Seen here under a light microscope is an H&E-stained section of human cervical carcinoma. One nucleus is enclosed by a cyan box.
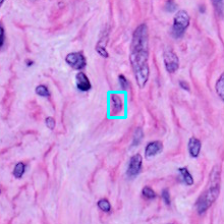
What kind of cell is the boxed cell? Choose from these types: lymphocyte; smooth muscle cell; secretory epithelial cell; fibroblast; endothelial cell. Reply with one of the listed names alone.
smooth muscle cell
